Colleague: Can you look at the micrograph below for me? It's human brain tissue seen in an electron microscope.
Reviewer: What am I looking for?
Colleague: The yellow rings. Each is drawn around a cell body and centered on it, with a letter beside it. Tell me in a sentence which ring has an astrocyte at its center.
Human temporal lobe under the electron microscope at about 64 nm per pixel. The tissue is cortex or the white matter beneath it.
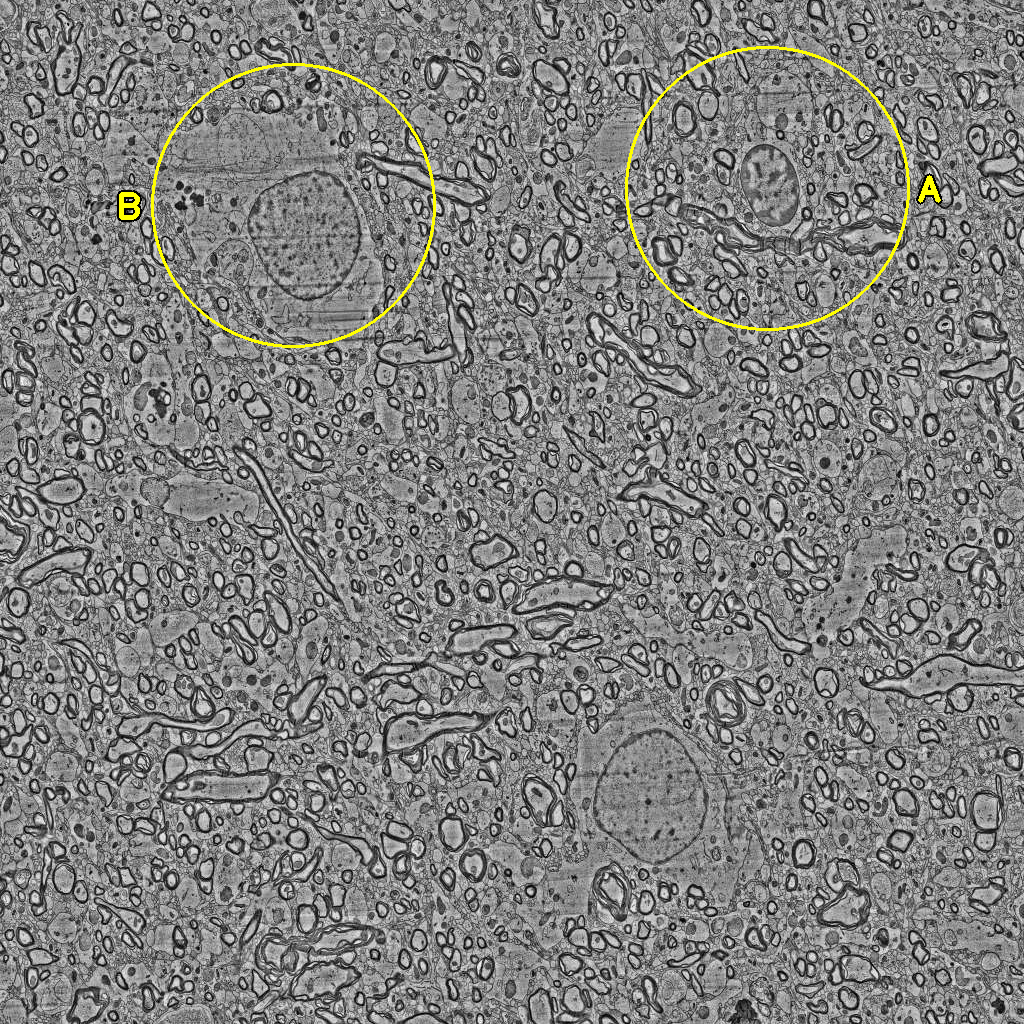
It's the cell in ring B.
